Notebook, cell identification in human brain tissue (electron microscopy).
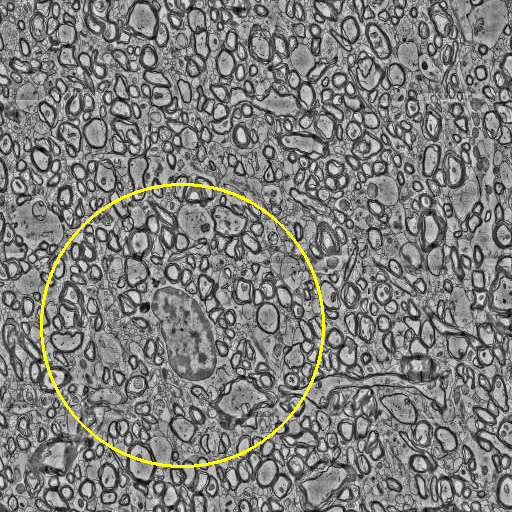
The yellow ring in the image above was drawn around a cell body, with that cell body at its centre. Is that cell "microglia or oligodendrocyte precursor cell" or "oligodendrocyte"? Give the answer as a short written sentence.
The cell in the ring is a microglial cell or oligodendrocyte precursor cell.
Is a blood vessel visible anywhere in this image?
No, none is visible.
